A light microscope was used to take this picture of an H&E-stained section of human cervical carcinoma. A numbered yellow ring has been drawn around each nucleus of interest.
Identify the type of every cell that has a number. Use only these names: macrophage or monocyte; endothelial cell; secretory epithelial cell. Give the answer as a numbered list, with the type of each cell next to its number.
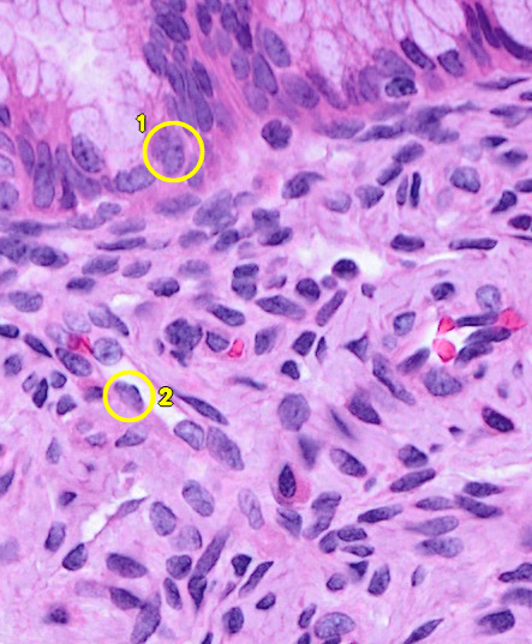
1. secretory epithelial cell
2. endothelial cell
